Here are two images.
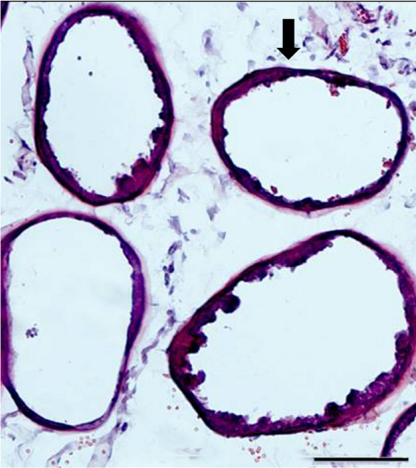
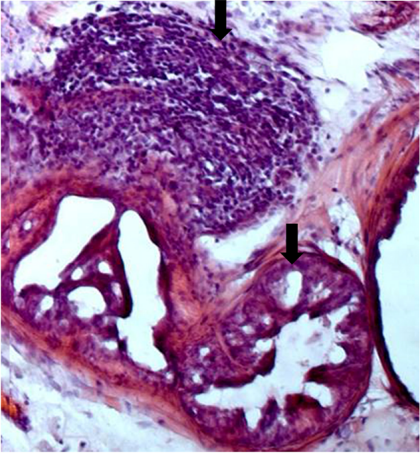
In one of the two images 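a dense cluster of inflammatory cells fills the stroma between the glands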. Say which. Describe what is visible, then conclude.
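First image: the loose pale stroma between the round glands holds only scattered cells. Second image: a large dense mass of small dark nuclei lies in the stroma next to a gland. On this evidence: the second image.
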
